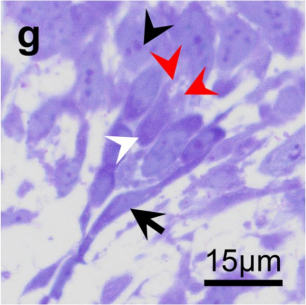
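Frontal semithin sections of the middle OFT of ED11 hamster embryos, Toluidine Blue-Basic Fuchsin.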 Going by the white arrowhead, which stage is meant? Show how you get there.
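Intermediate phenotype. The marked cell lies in the elongated lining band. It is plumper and more rounded than the thin lining cells below it.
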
